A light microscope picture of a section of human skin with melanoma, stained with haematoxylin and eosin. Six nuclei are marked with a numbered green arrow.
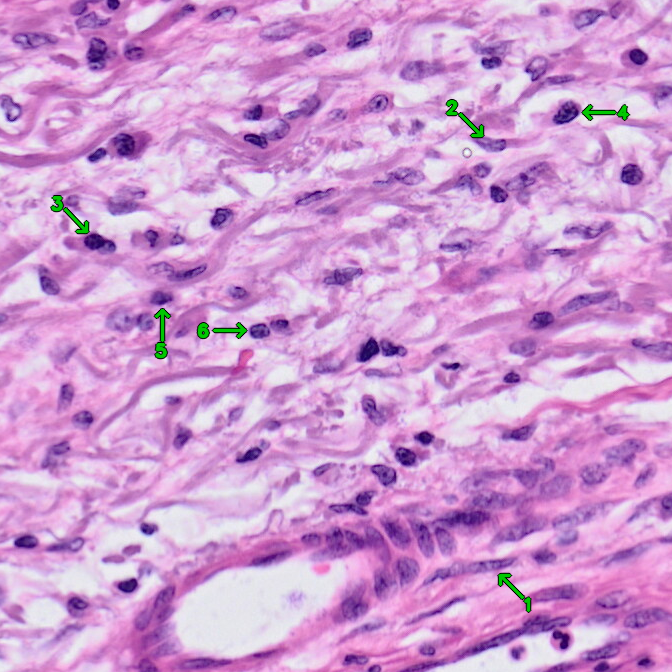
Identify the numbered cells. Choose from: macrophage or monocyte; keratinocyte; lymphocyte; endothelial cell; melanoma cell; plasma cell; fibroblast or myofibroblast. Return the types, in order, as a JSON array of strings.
["fibroblast or myofibroblast", "fibroblast or myofibroblast", "plasma cell", "plasma cell", "plasma cell", "lymphocyte"]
